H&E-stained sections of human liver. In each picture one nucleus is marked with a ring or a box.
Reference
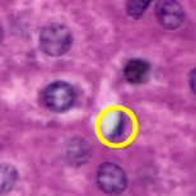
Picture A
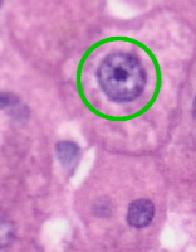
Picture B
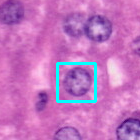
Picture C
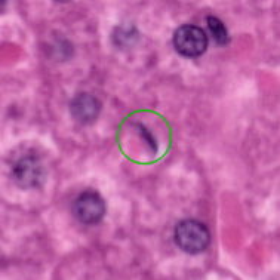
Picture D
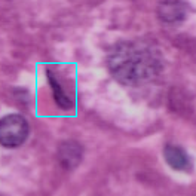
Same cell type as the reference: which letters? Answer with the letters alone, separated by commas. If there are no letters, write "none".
C, D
